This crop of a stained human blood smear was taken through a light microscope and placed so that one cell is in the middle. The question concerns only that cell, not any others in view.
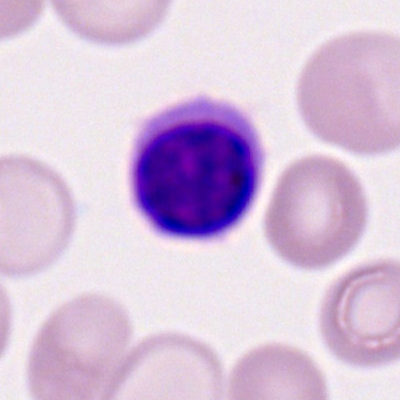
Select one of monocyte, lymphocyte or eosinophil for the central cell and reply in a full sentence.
The cell sitting right in the middle is a lymphocyte.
